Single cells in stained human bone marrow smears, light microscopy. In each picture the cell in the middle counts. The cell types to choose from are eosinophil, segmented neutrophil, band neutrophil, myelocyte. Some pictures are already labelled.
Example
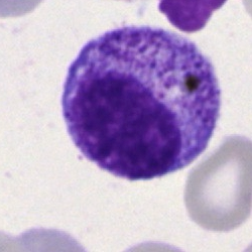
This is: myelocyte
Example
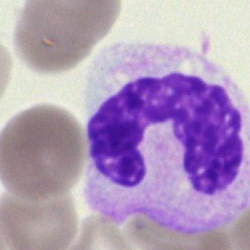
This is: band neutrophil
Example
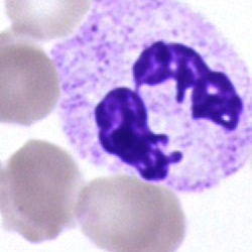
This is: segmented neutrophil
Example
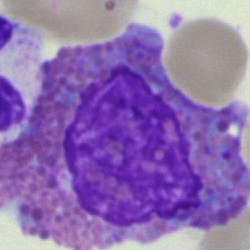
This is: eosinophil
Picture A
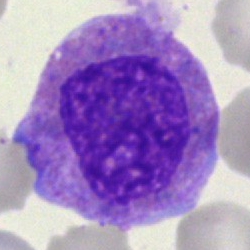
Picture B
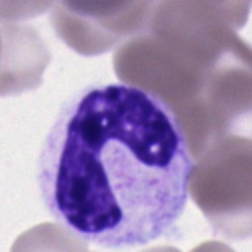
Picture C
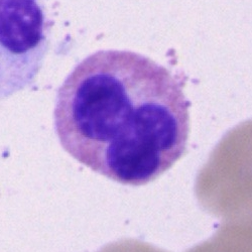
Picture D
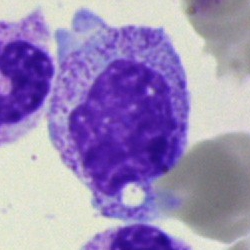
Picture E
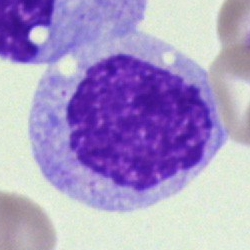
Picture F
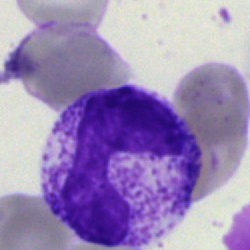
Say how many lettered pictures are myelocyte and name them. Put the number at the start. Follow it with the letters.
2, namely D, E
